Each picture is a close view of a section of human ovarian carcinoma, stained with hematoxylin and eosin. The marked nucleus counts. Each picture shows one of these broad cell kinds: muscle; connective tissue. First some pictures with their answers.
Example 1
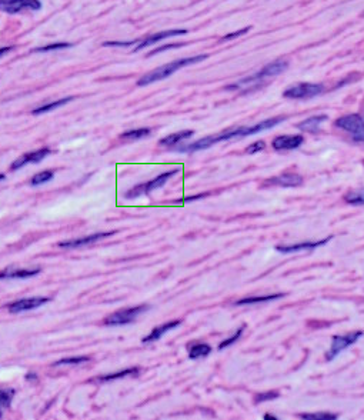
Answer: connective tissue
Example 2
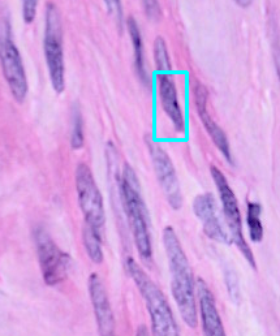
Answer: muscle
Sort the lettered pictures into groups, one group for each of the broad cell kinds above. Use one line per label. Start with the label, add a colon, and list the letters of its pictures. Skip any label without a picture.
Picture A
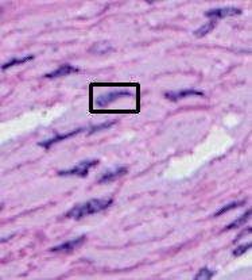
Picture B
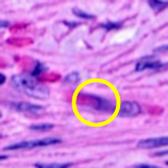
connective tissue: A, B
